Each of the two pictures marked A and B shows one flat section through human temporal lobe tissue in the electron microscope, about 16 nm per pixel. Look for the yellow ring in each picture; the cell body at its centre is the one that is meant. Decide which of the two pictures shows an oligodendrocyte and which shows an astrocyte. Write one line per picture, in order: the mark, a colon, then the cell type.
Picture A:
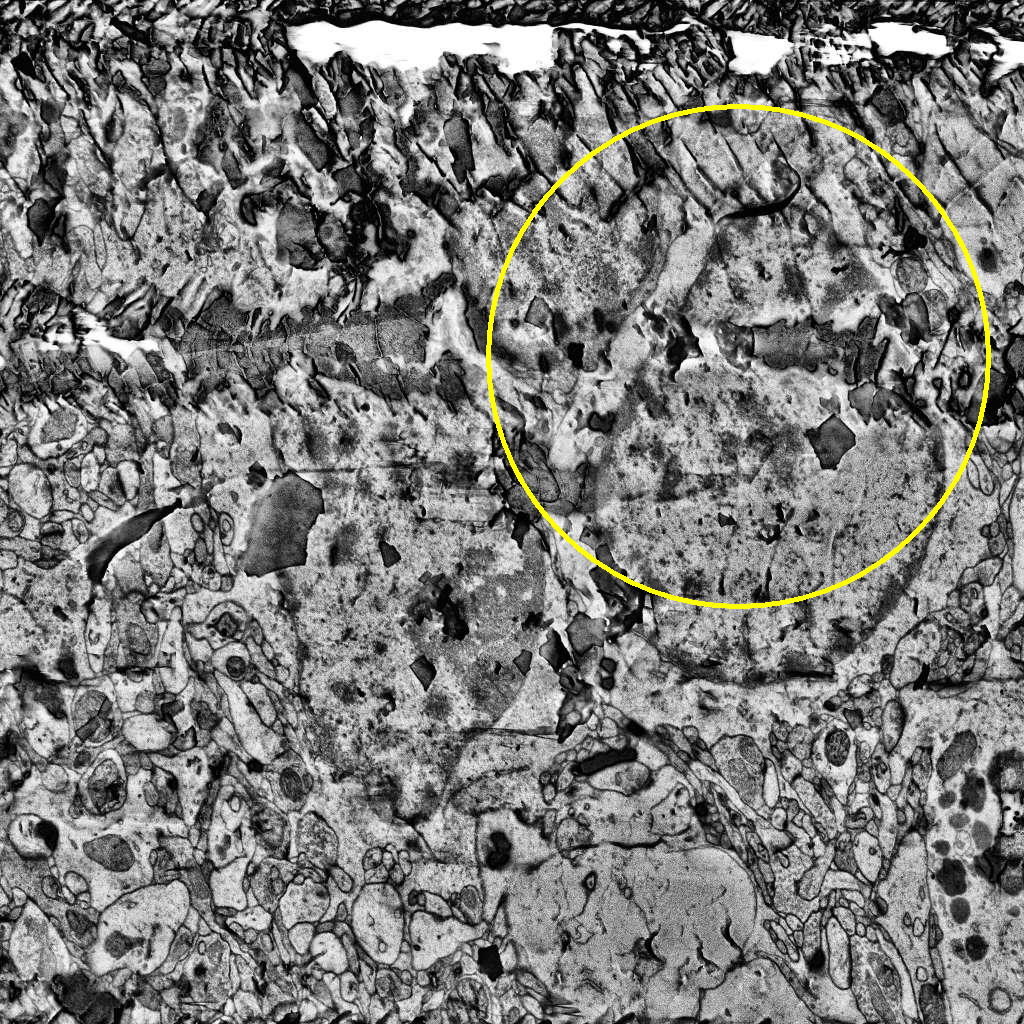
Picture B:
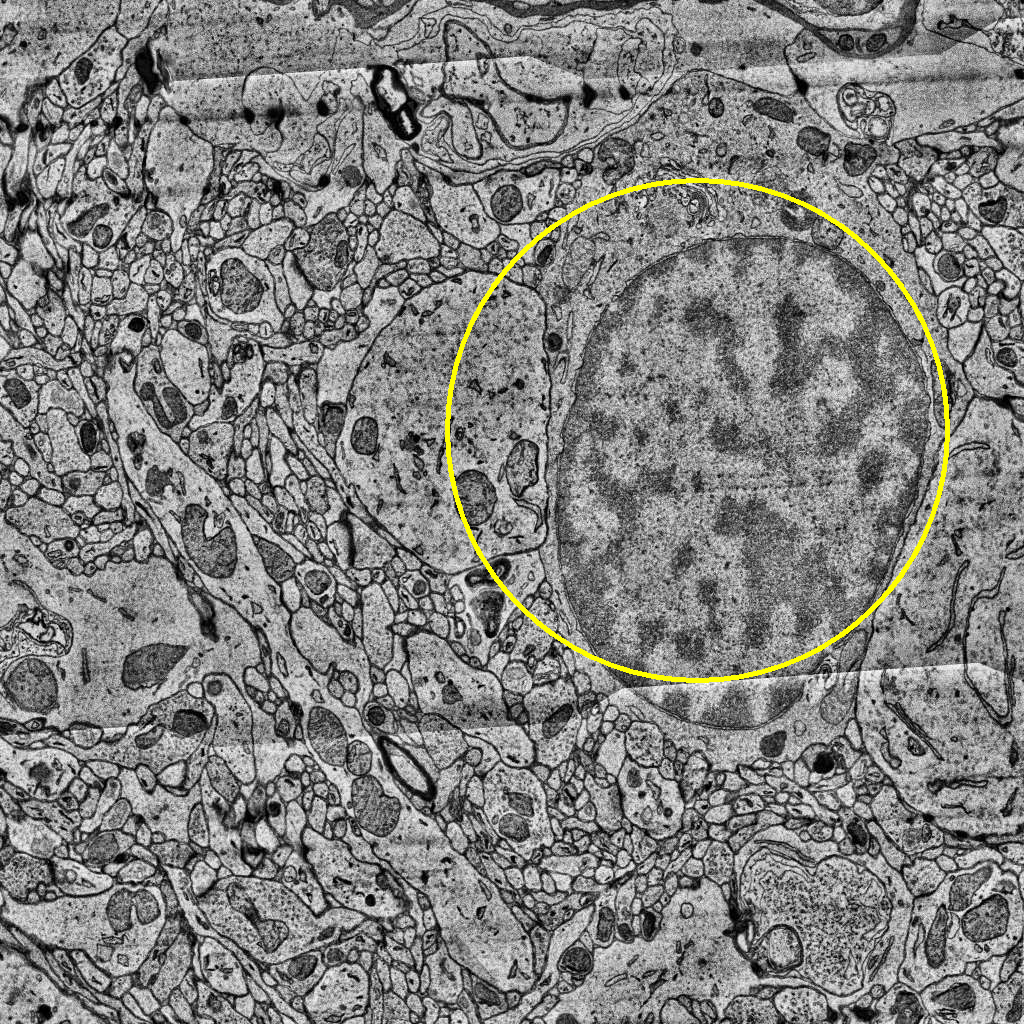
A: astrocyte
B: oligodendrocyte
